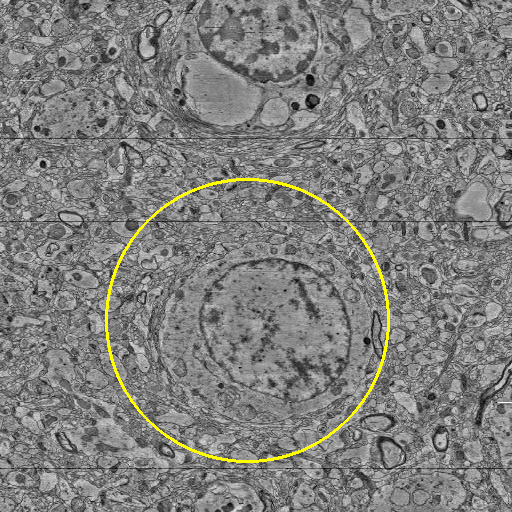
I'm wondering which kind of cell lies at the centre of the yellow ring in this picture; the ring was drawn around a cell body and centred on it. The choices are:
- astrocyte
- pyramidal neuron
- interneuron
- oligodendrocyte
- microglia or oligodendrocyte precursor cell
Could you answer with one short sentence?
At the centre of the ring lies a pyramidal neuron.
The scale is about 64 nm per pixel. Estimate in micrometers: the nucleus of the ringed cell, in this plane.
The nucleus measures about 10 micrometers across in this plane.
